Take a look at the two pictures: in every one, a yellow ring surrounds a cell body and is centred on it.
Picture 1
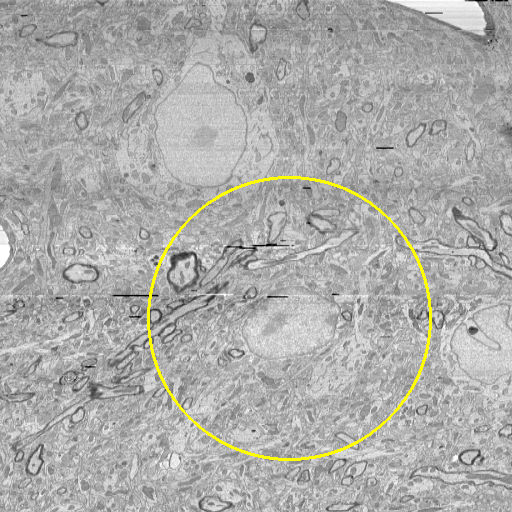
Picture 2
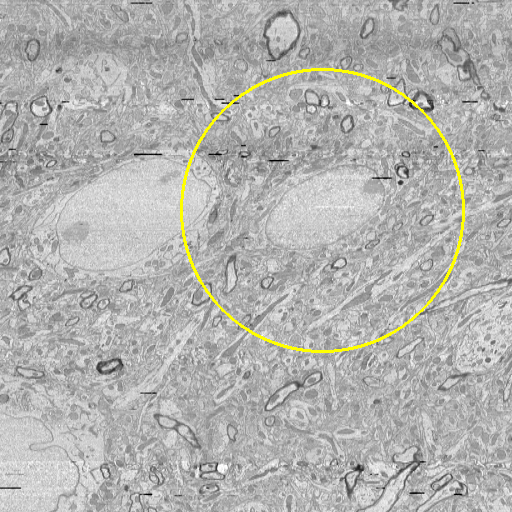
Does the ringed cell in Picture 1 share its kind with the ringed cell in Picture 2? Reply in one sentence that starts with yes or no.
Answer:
Yes, the two centred cells, one per picture, are of one kind.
